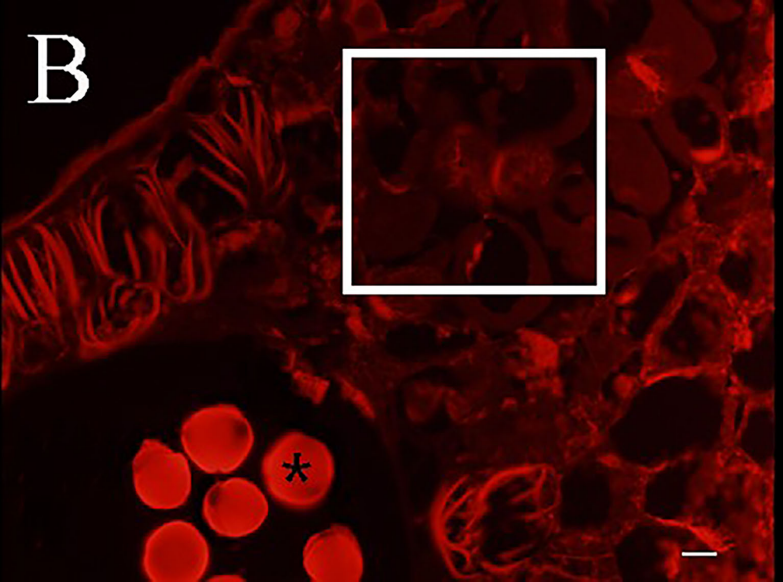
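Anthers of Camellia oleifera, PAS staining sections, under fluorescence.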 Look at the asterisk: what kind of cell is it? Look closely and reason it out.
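Normal pollen grains. The asterisk sits on one of a cluster of round grains in a locule. These round grains fluoresce bright, uniform red.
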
